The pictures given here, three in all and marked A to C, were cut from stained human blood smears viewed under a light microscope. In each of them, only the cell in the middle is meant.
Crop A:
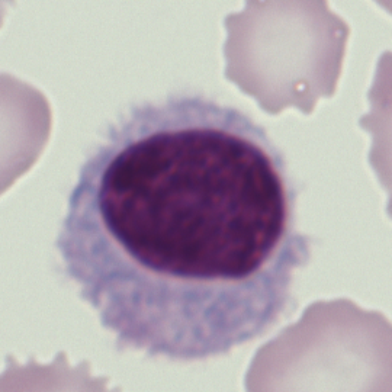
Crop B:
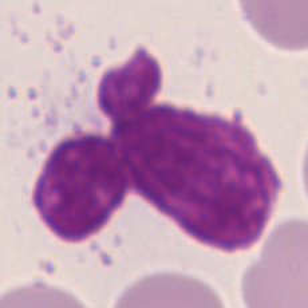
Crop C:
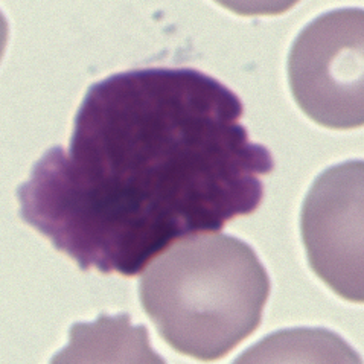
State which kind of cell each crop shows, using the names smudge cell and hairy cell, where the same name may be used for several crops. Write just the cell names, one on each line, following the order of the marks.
hairy cell
smudge cell
smudge cell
